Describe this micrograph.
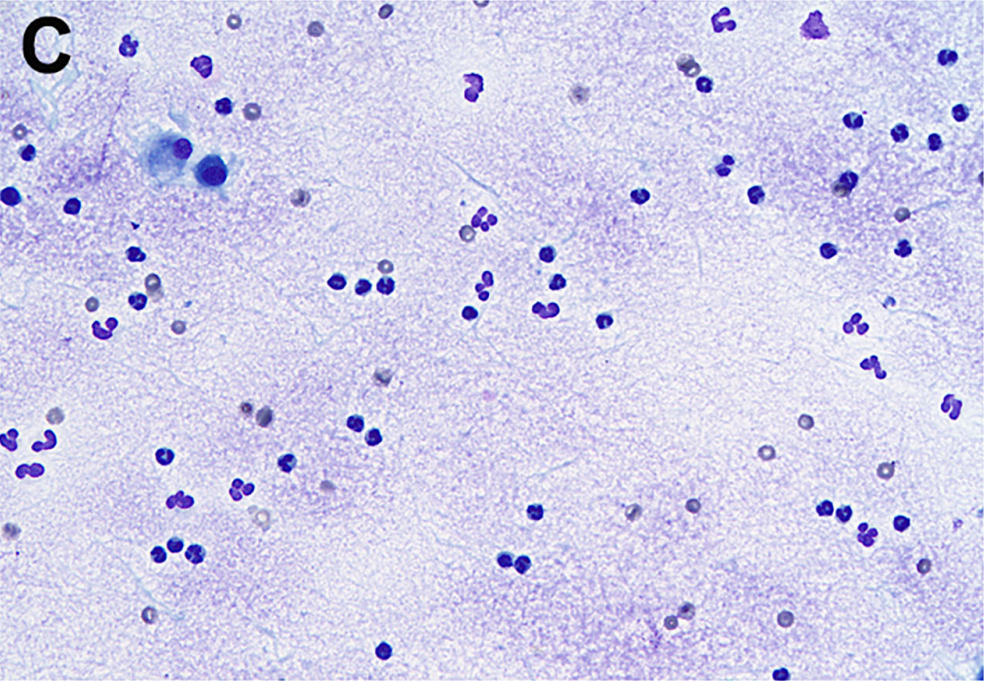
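The nuclei are dense, not swollen or pale. Many pale, grey, round, anucleate erythrocytes lie among them. Near the upper left, two larger cells stand out. They have round nuclei and more abundant blue cytoplasm. No microorganisms are visible in the field.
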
